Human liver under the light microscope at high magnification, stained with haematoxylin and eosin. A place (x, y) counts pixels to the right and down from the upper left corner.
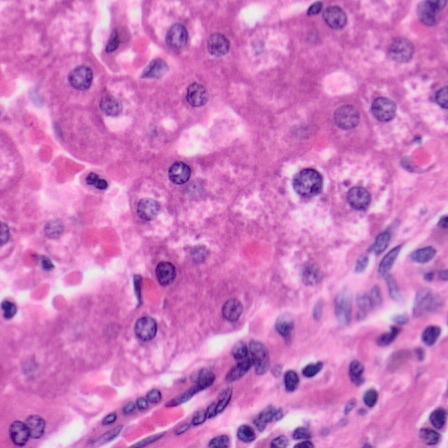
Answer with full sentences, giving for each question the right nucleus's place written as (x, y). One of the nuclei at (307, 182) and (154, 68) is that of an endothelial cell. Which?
That would be the nucleus at (154, 68); it belongs to an endothelial cell.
